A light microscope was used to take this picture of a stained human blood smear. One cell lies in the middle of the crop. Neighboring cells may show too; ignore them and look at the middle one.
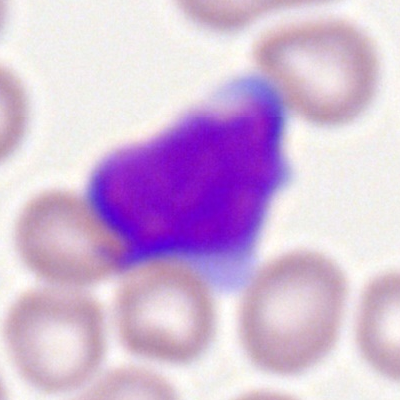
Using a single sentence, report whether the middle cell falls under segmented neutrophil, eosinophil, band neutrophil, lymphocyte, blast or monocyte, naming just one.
Present in the middle of the crop is a blast.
